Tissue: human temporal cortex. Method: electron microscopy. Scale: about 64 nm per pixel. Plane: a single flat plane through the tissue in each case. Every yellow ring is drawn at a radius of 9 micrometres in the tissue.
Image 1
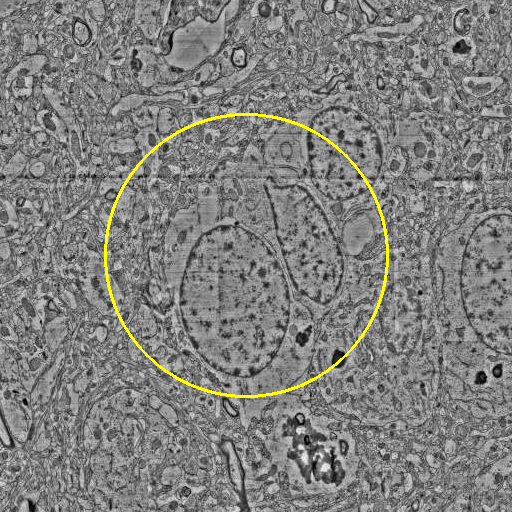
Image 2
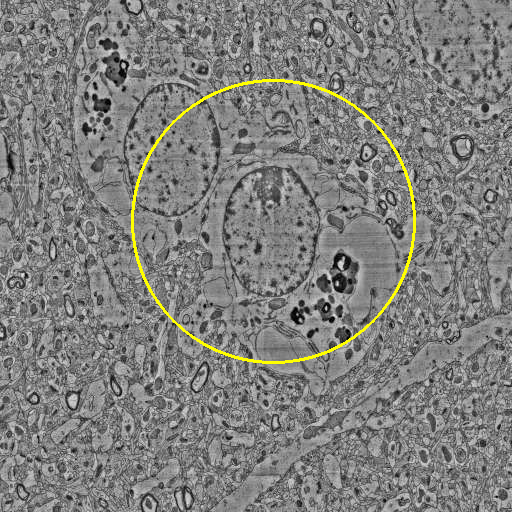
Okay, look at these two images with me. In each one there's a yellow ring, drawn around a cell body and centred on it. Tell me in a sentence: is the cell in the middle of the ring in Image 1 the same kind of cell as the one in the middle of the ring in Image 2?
Yes, they're the same kind of cell.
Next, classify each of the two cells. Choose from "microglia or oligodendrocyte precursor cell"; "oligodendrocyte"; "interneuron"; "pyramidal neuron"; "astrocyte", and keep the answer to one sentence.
In the first picture and in the second, the ring is centred on an astrocyte.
